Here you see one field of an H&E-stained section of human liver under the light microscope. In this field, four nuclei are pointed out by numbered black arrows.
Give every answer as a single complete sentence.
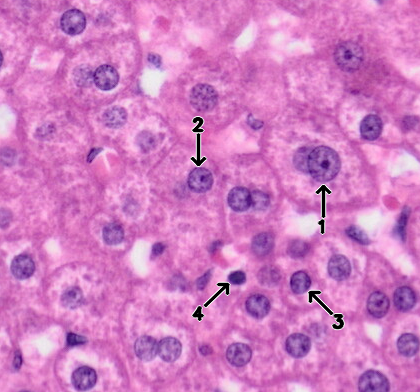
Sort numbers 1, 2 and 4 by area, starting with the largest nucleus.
From largest to smallest, the order is 1, 2, 4.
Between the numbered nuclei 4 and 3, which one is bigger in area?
Of the two, number 3 is bigger and takes up about 2 times the area of number 4.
